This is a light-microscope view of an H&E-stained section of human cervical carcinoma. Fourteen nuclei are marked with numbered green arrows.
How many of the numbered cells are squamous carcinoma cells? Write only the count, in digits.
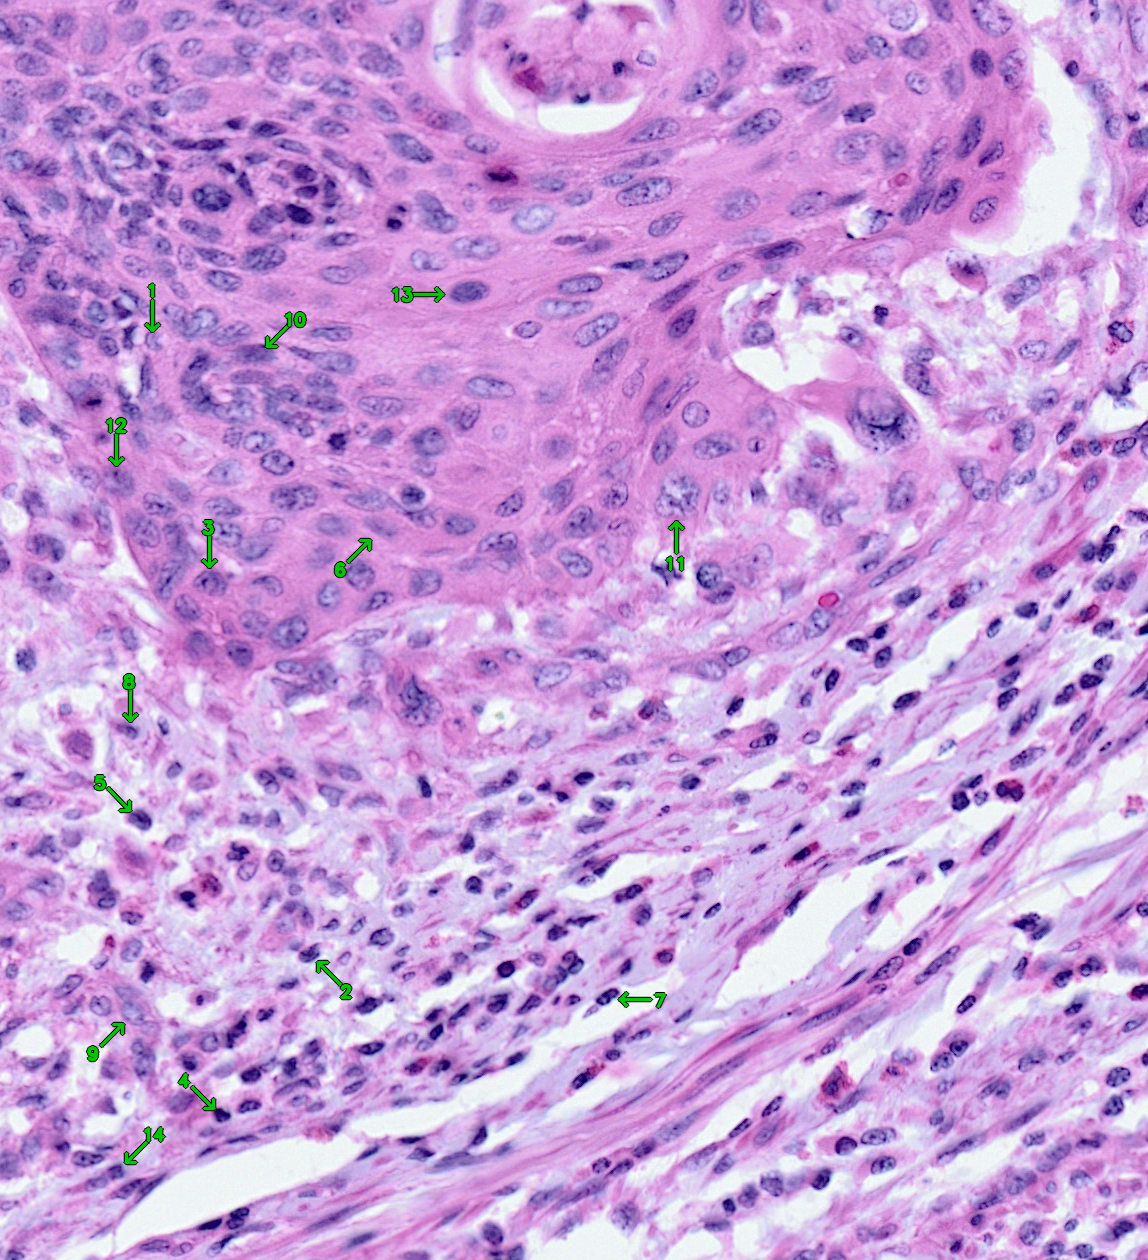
7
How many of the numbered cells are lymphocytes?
5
